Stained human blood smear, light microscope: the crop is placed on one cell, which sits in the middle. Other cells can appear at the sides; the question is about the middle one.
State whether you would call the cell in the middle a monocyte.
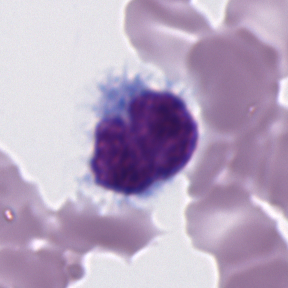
no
